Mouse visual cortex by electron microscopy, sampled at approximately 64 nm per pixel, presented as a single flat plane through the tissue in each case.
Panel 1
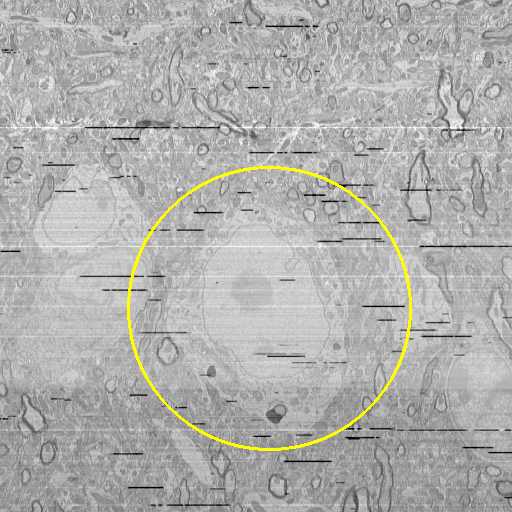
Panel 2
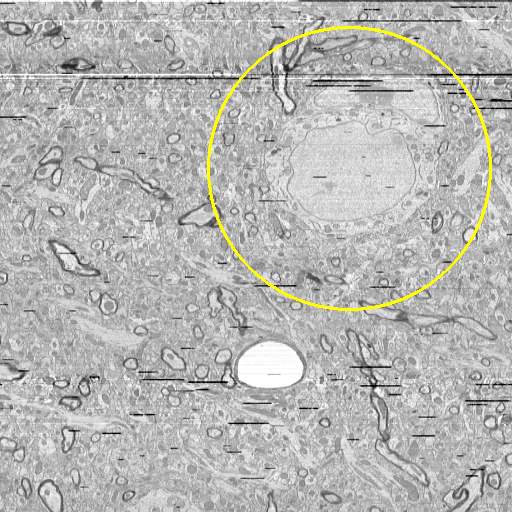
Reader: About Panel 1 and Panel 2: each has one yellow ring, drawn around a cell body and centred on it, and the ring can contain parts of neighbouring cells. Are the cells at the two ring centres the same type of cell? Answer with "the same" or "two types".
the same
